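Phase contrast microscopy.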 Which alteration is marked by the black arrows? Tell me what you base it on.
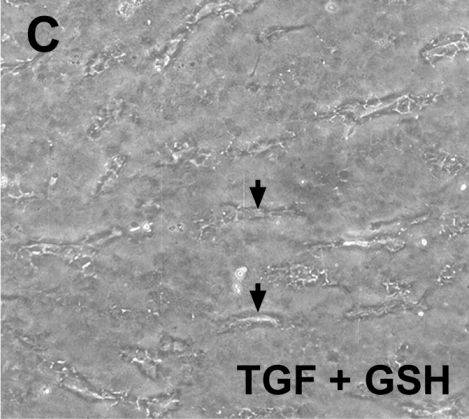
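The arrows point to short, thin linear folds. Most of the sheet between the folds is flat and continuous. So: slight wrinkling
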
